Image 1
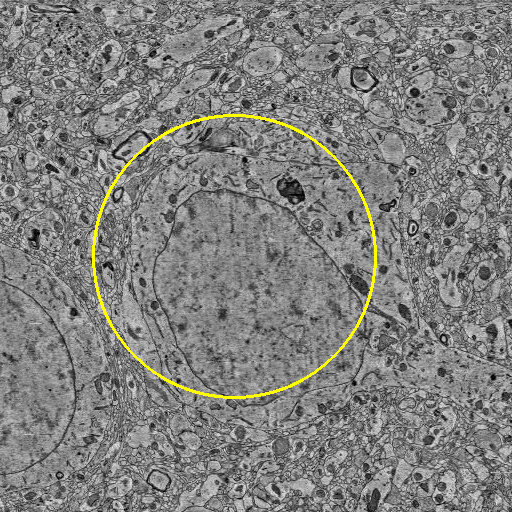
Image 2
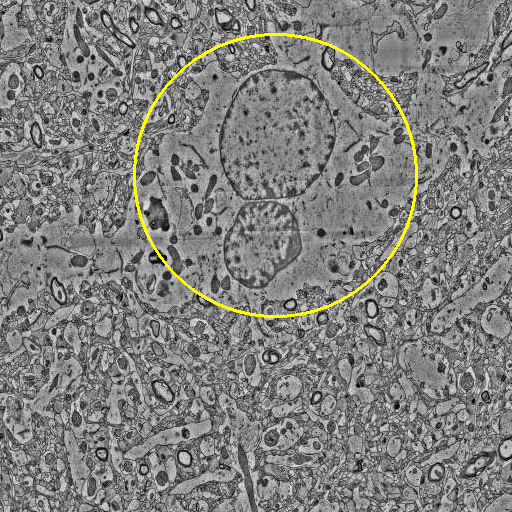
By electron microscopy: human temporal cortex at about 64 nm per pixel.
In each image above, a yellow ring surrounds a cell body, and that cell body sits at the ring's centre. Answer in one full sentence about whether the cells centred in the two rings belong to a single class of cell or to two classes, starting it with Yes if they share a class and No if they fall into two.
No, the cells centred in the two yellow rings belong to two classes of cell.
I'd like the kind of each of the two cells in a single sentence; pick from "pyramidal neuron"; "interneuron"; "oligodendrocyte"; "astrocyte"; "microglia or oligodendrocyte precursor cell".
The first ring marks a pyramidal neuron, and the second ring marks an astrocyte.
